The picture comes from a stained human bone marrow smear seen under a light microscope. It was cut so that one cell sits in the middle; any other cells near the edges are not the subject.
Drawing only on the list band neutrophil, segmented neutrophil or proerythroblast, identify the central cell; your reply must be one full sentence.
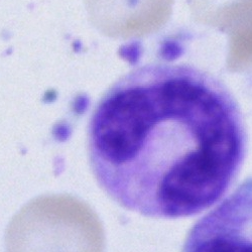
Located at the centre of the crop is a band neutrophil.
